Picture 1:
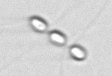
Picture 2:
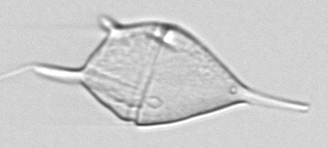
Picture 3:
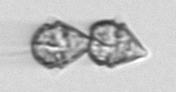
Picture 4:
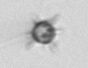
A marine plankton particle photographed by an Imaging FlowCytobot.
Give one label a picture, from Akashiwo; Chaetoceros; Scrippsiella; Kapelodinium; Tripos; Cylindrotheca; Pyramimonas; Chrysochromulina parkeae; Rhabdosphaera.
1: Chaetoceros
2: Tripos
3: Scrippsiella
4: Rhabdosphaera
